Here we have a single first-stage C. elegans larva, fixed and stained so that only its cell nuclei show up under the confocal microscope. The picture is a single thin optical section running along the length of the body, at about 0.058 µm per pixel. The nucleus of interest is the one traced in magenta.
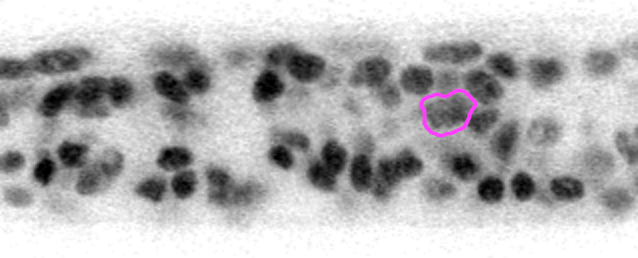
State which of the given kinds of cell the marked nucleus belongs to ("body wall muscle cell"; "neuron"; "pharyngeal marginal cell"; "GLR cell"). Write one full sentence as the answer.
The nucleus comes from a pharyngeal marginal cell.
